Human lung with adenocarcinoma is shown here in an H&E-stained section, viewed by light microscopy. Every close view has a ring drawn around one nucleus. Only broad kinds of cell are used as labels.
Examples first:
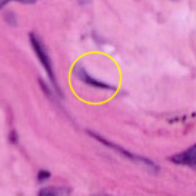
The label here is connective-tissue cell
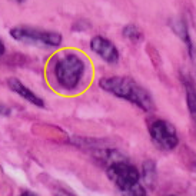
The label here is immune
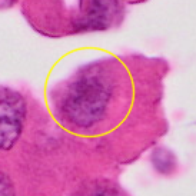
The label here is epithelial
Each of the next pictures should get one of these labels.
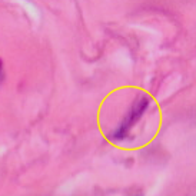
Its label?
connective-tissue cell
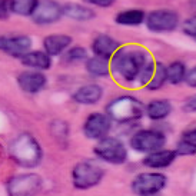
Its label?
immune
